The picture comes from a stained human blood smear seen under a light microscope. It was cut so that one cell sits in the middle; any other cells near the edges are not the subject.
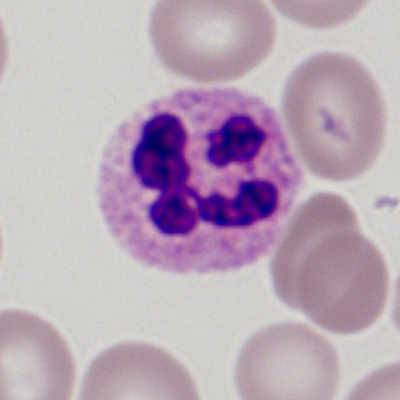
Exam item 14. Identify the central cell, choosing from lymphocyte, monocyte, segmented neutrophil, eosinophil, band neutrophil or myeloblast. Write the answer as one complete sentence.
For this crop, the central cell is a segmented neutrophil.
